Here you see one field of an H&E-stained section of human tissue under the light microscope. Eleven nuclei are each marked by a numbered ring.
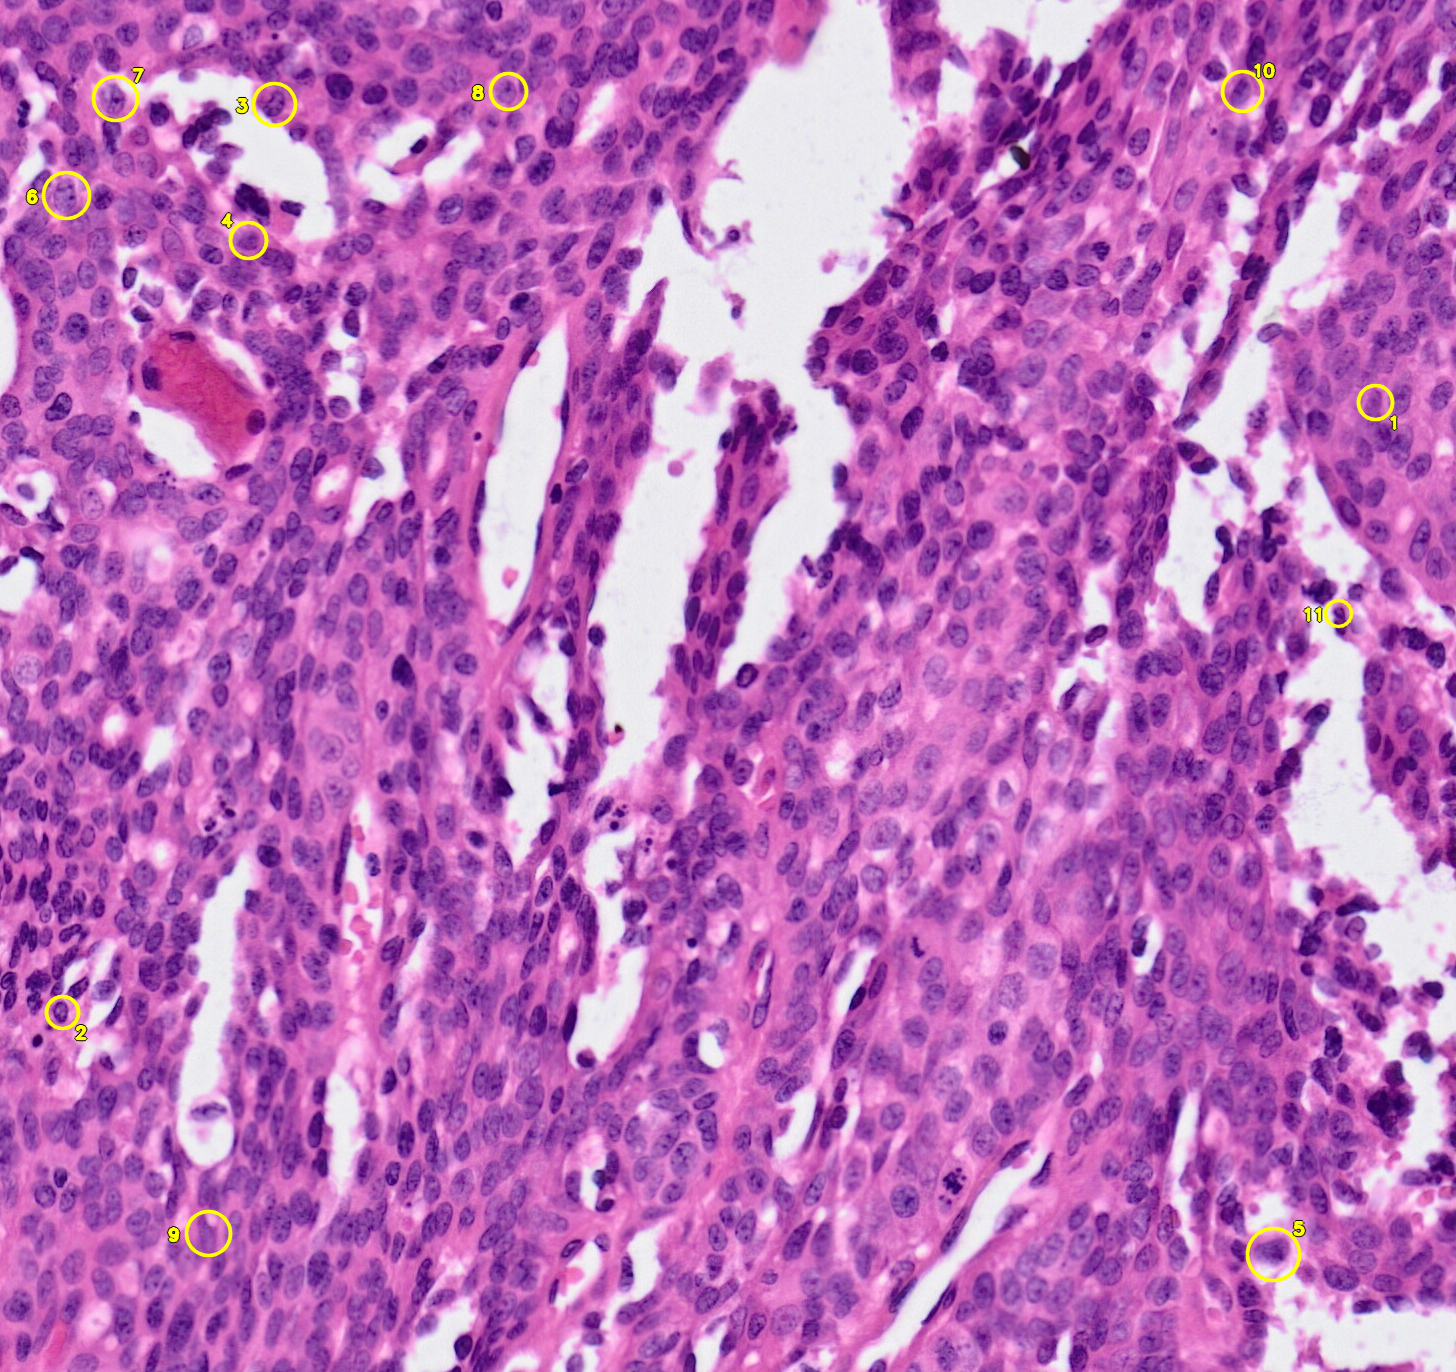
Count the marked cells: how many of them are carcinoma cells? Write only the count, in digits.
5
